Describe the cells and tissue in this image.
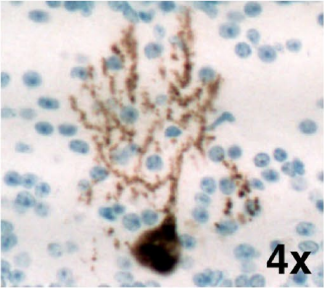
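Single Purkinje cell in cerebellar cortex, stained dark brown, among small blue round nuclei. The cell body is large, dense and flask-shaped, sitting at the base of the field. From it a wide dendritic tree fans out upward, but the branches are abnormal: excessively branched, coarse and knobby, broken into beaded segments rather than smooth continuous processes. A second smaller fragment of stained dendrite lies to one side.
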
